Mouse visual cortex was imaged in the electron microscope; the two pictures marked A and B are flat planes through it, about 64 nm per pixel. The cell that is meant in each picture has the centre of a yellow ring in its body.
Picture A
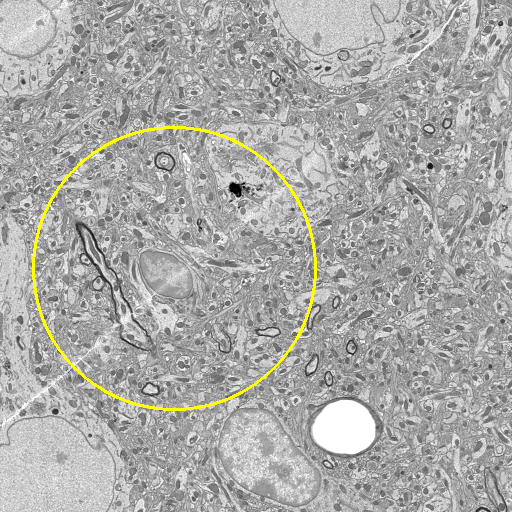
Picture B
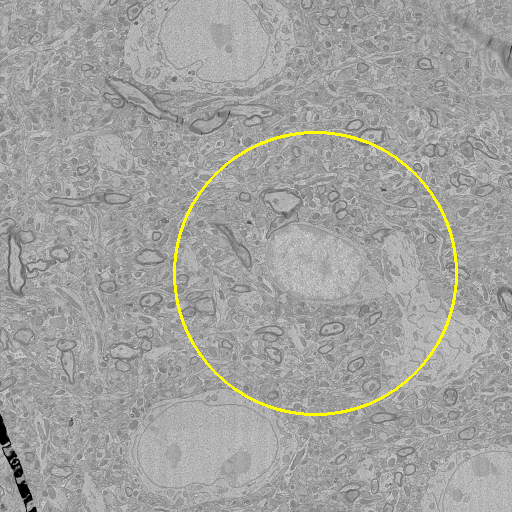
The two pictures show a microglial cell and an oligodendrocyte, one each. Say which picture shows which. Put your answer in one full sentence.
Picture B shows an oligodendrocyte, while picture A shows a microglial cell.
